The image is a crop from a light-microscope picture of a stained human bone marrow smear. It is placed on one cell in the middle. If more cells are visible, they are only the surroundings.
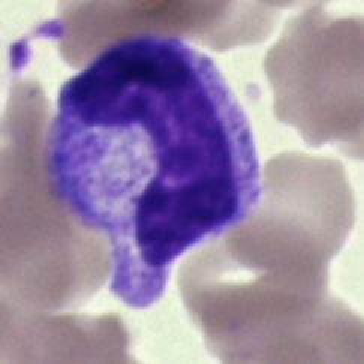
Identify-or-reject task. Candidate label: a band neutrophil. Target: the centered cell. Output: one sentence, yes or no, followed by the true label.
Yes, the cell lying in the centre of the crop is identified as a band neutrophil.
